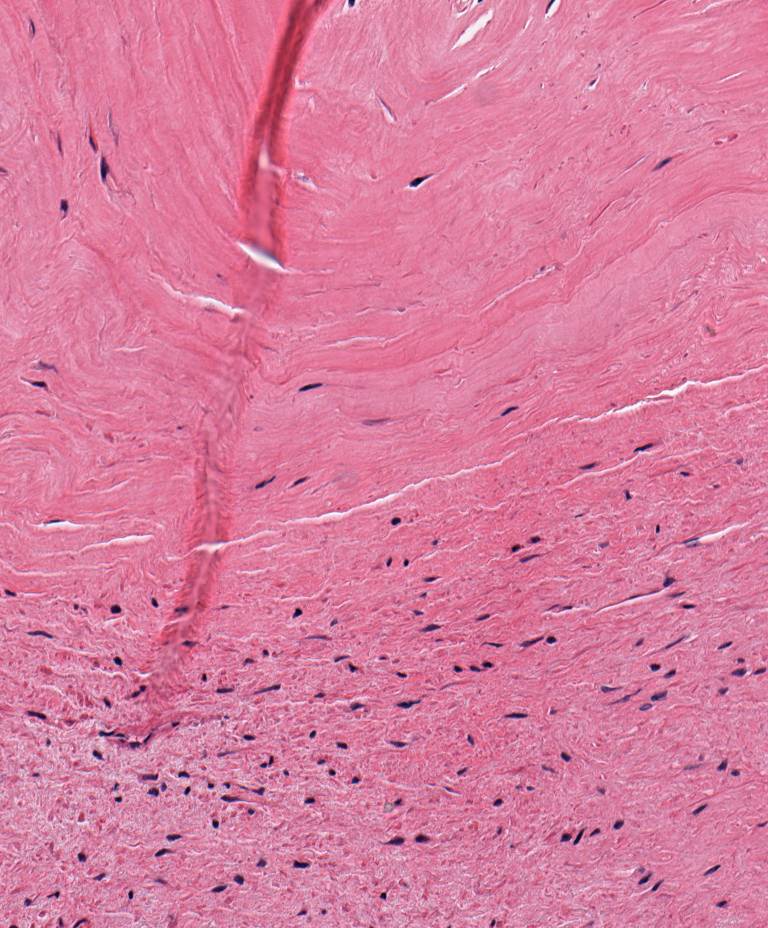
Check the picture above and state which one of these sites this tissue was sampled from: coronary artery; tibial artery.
coronary artery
